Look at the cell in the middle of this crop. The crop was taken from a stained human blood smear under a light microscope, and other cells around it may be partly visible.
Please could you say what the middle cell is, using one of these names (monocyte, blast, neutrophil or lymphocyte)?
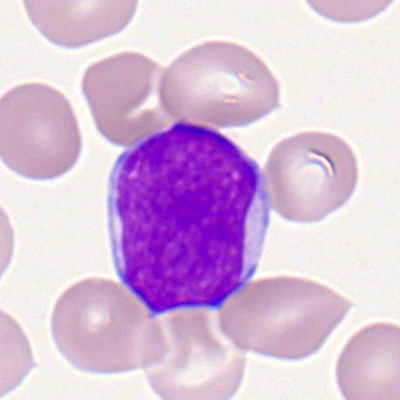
blast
